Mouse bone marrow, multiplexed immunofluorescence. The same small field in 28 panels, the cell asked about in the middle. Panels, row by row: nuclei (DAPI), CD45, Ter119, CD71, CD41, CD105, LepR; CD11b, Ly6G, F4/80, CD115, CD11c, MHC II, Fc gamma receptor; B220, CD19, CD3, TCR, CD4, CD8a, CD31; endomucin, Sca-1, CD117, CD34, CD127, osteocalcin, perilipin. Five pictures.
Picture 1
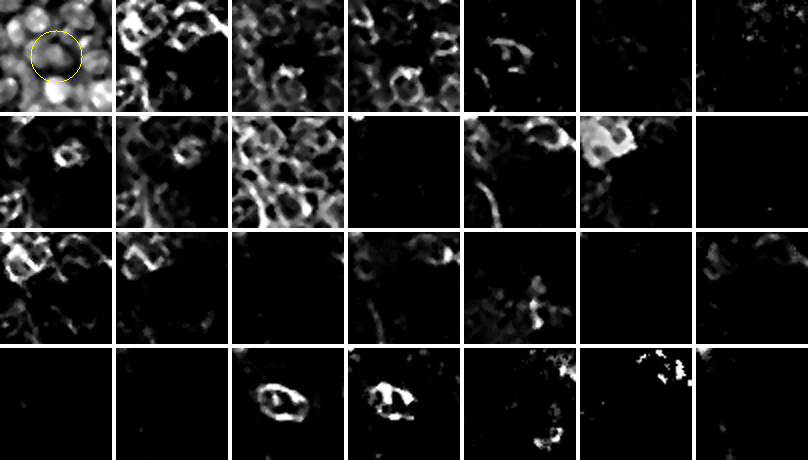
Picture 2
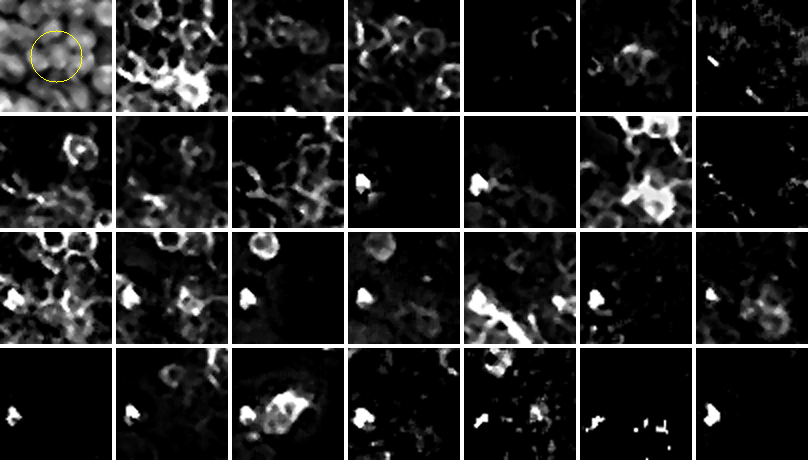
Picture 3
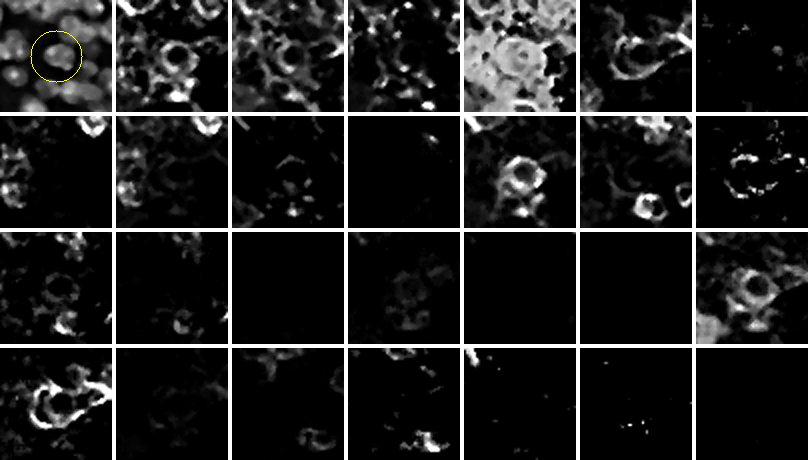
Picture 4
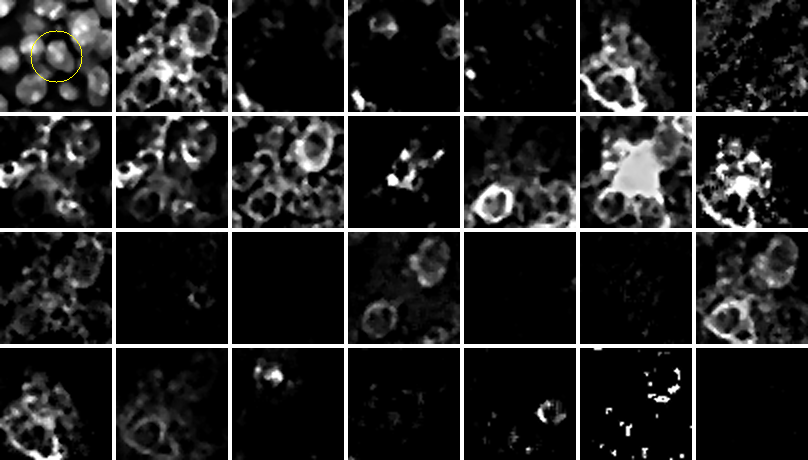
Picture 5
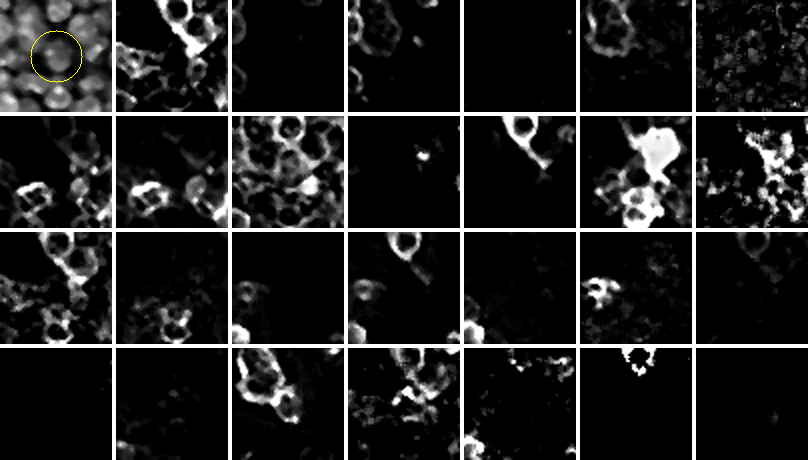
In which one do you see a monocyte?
In picture 4.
